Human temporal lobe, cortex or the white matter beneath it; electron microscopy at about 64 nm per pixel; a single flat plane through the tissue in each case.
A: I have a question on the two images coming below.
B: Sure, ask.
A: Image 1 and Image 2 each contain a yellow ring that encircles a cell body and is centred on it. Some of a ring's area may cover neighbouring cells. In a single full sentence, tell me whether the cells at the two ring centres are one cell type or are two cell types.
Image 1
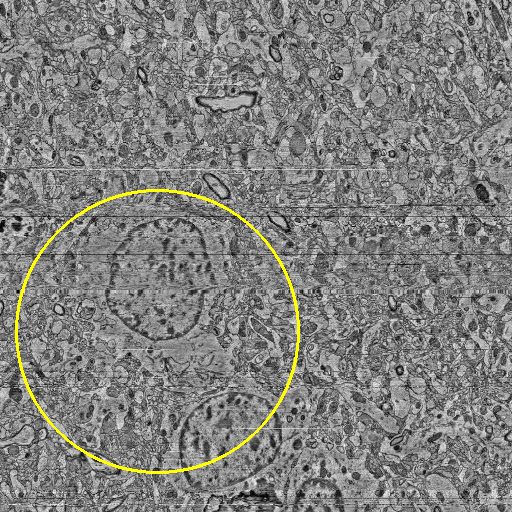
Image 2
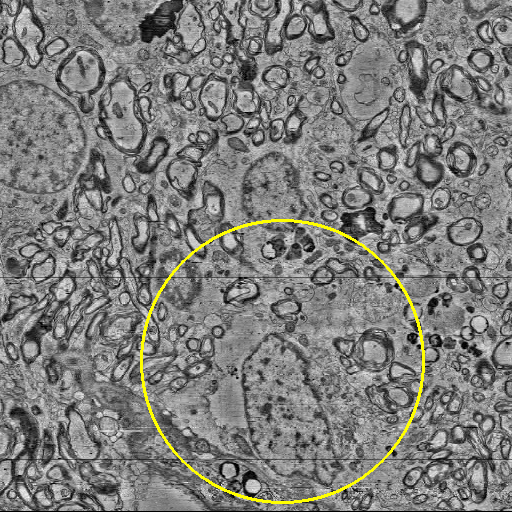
As for the ring-centre cells, the one in Image 1 and the one in Image 2 are one cell type.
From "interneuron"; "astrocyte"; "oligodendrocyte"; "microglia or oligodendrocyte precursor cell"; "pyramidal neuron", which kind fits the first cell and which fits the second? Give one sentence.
Both pictures show an astrocyte at the centre of the ring.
